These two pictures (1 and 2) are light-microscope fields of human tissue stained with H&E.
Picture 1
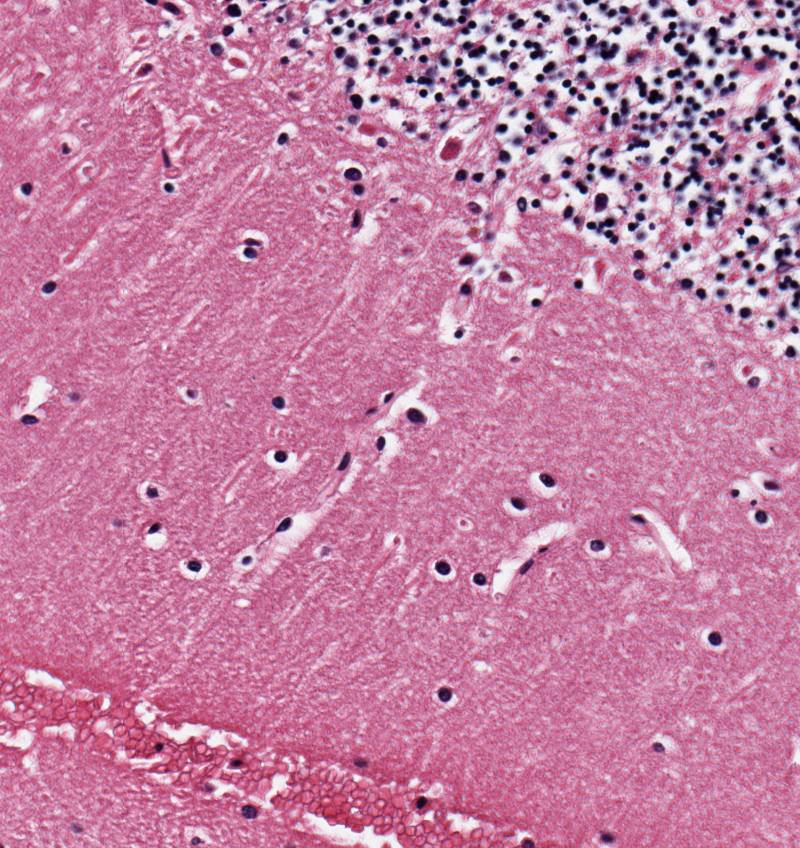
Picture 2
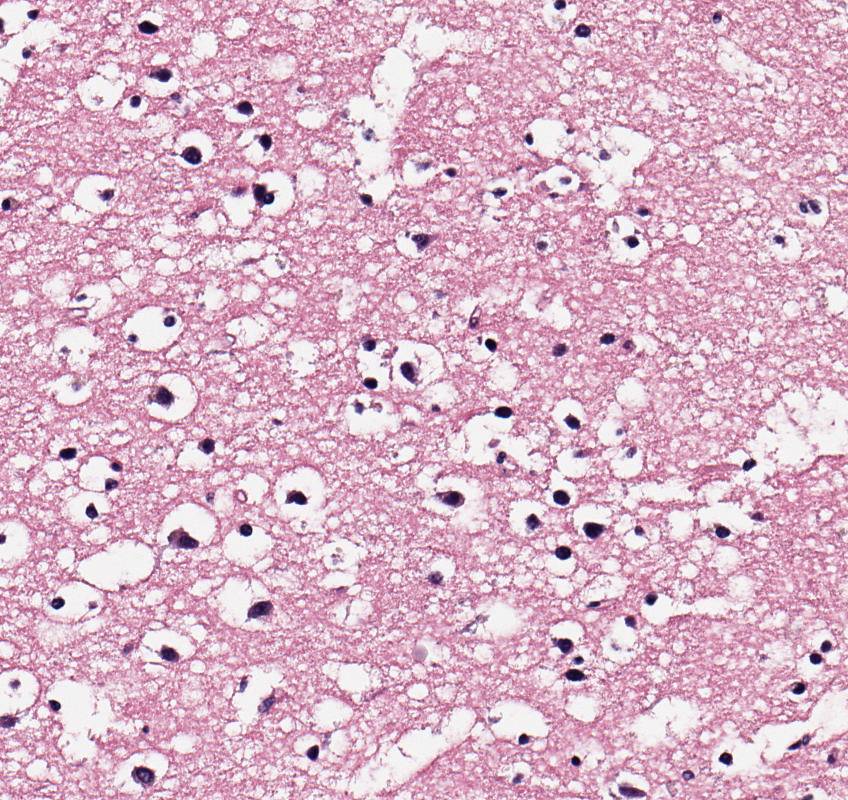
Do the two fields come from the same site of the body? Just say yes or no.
no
